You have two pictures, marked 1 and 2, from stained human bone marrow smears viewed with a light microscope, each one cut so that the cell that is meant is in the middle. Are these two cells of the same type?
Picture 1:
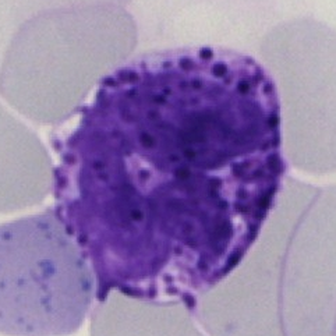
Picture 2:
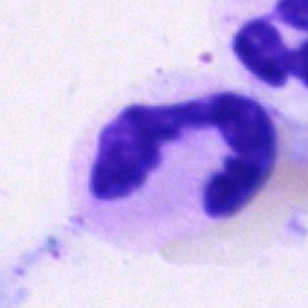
no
